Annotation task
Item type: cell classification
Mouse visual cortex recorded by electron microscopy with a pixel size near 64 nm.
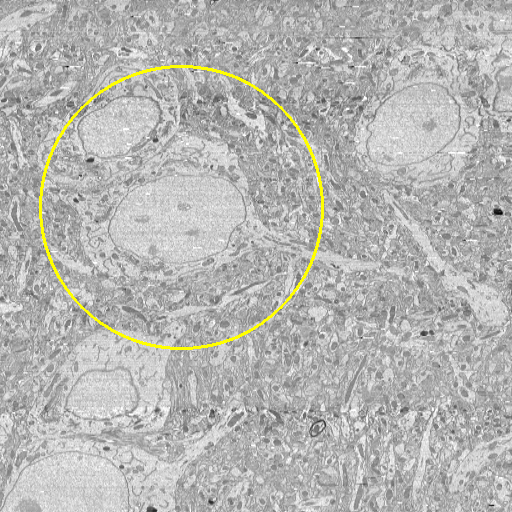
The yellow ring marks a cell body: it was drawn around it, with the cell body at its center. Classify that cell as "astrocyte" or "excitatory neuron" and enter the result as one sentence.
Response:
The ring's center falls on an excitatory neuron.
